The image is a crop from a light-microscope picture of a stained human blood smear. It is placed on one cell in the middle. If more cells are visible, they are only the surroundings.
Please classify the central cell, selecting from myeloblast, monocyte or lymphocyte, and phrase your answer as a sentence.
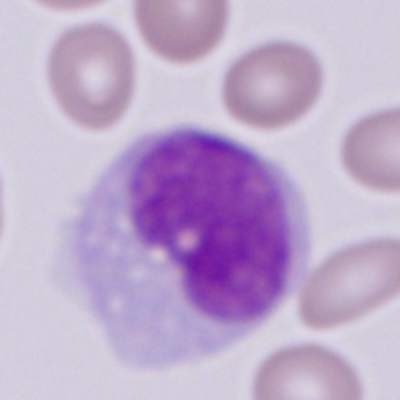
This particular crop is centered on a monocyte.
